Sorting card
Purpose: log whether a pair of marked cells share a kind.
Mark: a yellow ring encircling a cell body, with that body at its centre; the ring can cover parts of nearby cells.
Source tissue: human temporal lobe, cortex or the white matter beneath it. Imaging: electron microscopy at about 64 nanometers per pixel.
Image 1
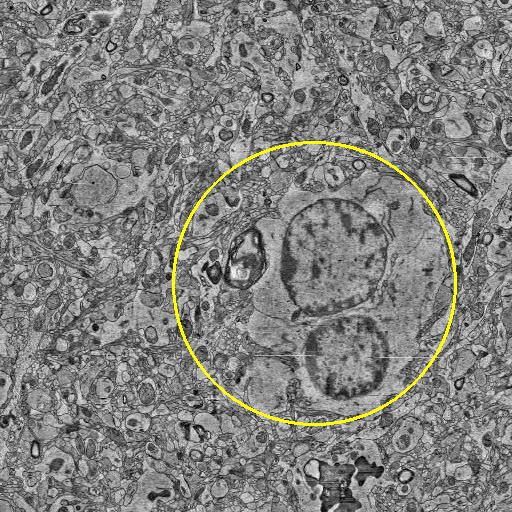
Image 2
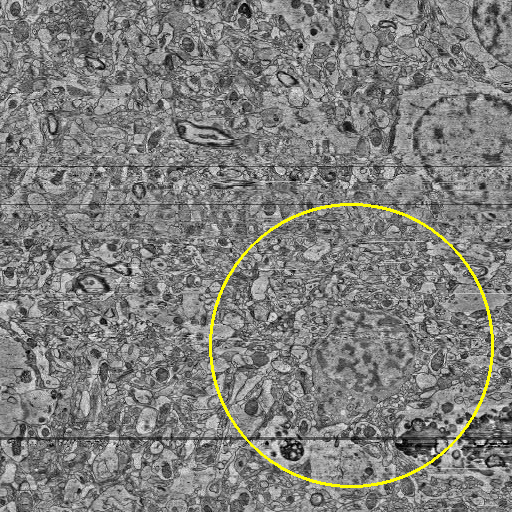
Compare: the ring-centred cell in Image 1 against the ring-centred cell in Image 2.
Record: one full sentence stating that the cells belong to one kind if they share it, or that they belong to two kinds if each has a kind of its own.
Across Images 1 and 2, the two ring-centred cells belong to two kinds.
